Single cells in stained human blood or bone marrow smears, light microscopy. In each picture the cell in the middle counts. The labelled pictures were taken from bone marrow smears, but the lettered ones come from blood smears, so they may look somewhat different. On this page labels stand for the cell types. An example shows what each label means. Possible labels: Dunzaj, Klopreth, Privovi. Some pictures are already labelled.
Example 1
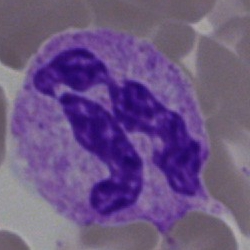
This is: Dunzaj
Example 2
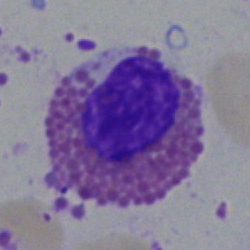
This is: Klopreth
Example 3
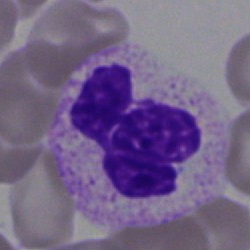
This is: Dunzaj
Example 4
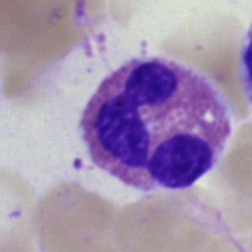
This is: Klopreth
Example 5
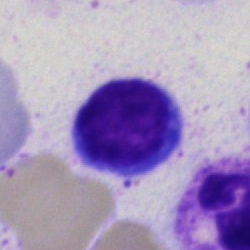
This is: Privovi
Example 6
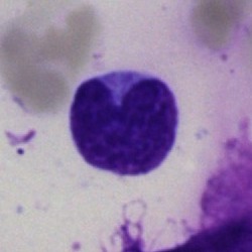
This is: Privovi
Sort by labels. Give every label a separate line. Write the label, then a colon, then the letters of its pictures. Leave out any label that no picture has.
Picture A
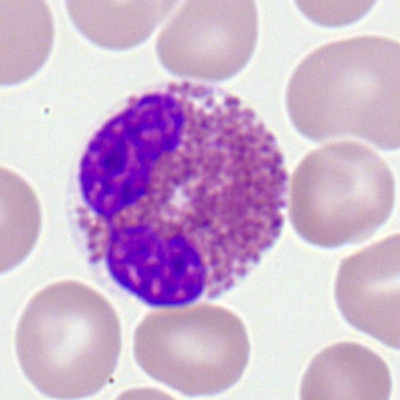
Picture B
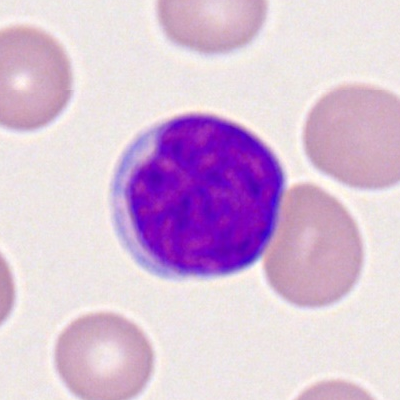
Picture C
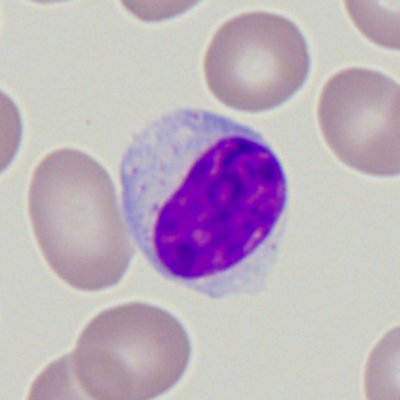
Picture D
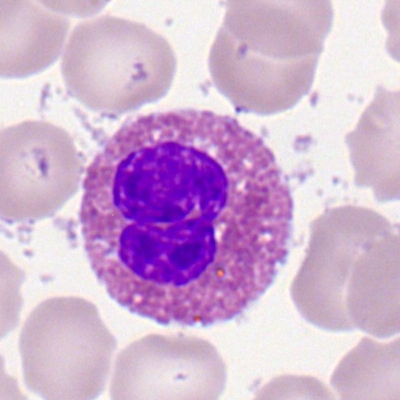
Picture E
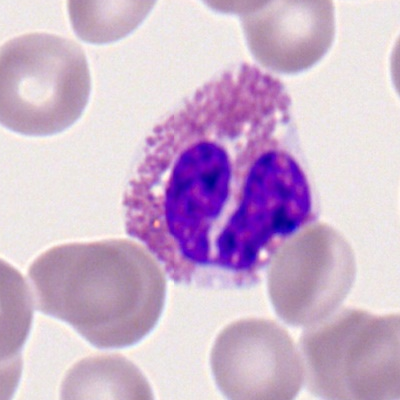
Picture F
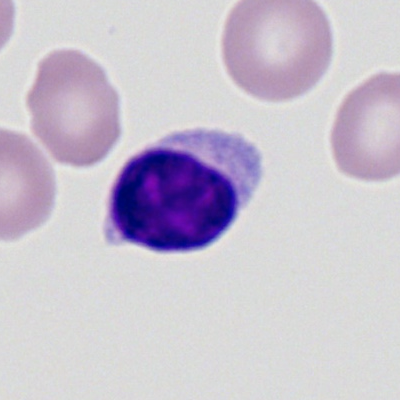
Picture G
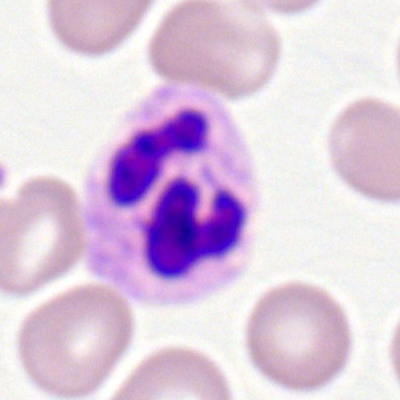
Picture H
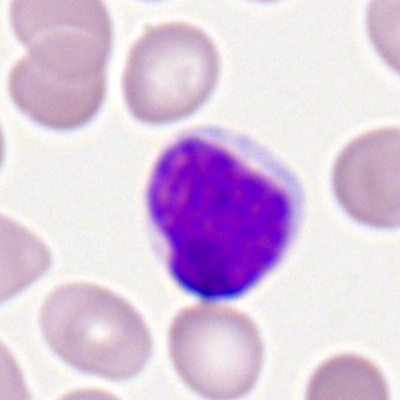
Dunzaj: G
Klopreth: A, D, E
Privovi: B, C, F, H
